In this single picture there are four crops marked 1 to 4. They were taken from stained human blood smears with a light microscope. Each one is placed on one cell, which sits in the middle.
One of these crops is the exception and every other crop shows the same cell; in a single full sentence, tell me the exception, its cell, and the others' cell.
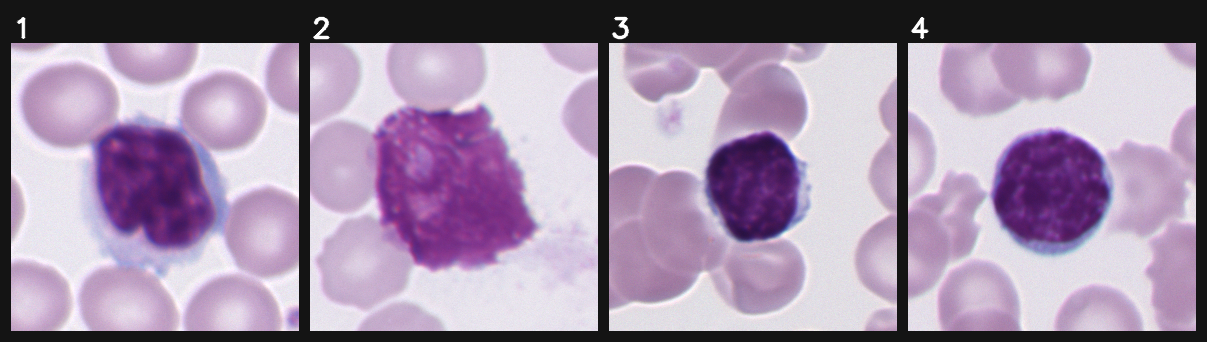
With the other crops all showing typical lymphocytes, crop 2 differs by showing a smudge cell.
